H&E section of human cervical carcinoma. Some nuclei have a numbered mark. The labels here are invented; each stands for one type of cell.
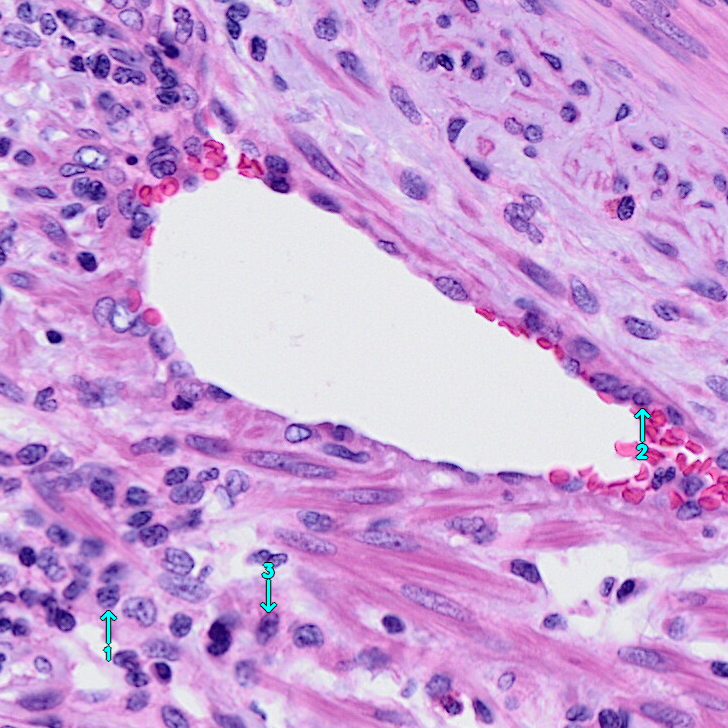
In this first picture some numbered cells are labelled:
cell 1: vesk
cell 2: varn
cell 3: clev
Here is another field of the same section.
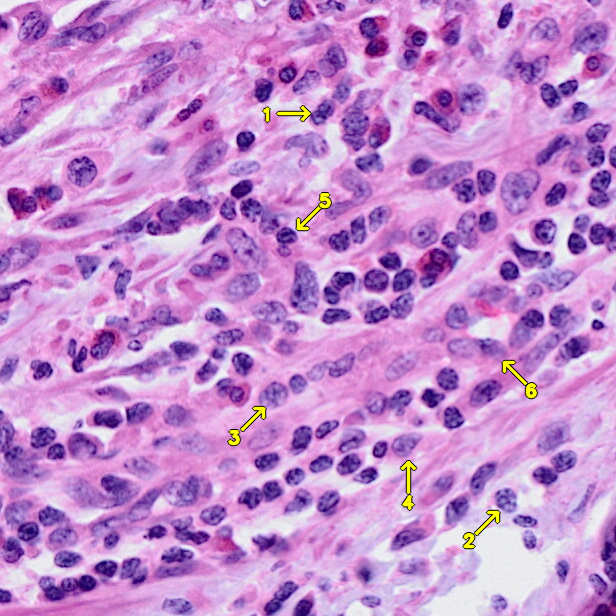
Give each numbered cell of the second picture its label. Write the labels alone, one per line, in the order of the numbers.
vesk
vesk
clev
clev
vesk
varn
